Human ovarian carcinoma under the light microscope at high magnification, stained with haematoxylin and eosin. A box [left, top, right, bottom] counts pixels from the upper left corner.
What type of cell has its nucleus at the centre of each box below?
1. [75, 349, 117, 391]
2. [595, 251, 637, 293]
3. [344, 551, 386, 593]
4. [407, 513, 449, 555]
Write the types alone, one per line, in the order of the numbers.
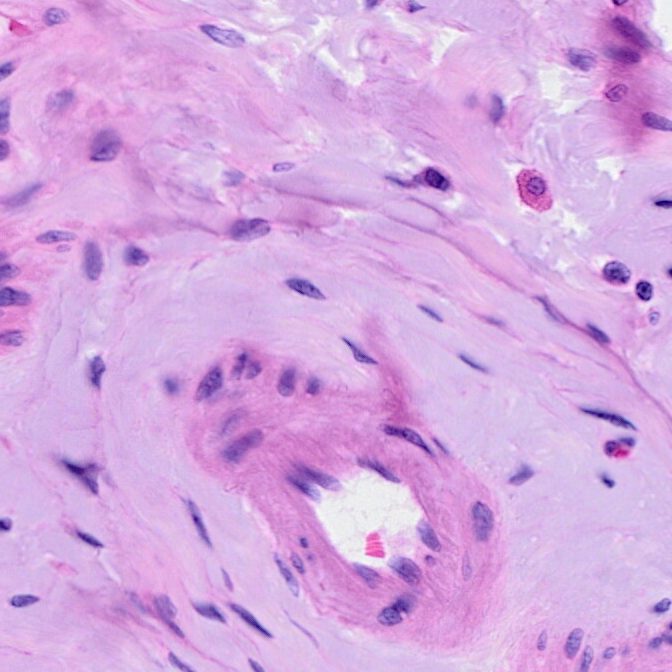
fibroblast
lymphocyte
endothelial cell
endothelial cell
